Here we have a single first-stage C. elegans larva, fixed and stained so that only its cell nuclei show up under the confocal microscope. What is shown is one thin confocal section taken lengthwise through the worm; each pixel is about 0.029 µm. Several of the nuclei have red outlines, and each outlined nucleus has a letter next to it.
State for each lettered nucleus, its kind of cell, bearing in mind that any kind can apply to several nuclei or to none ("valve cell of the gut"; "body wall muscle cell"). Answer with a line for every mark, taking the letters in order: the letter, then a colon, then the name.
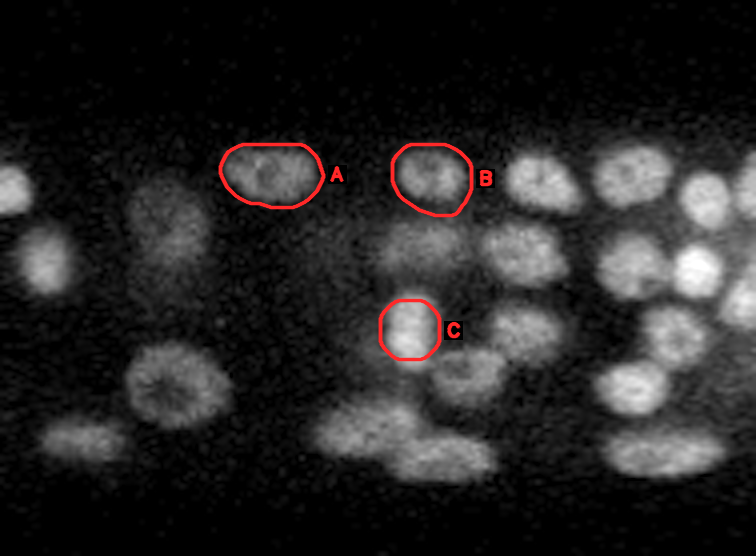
A: body wall muscle cell
B: body wall muscle cell
C: valve cell of the gut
